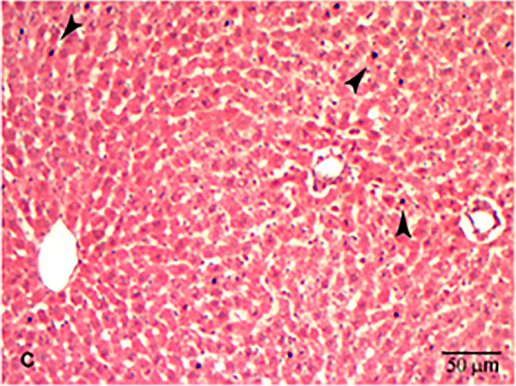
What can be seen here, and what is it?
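This is liver parenchyma with plates of hepatocytes running between pale sinusoidal spaces and several vessel lumina, one large and empty at the lower left. Scattered through the tissue are small, round, intensely dark blue nuclei, much denser than the ordinary pale nuclei, typical of pyknosis; the arrowheads point to some of them. The orderly radiating arrangement of the cell plates is partly lost, giving a more irregular, disorganised look than in healthy liver.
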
